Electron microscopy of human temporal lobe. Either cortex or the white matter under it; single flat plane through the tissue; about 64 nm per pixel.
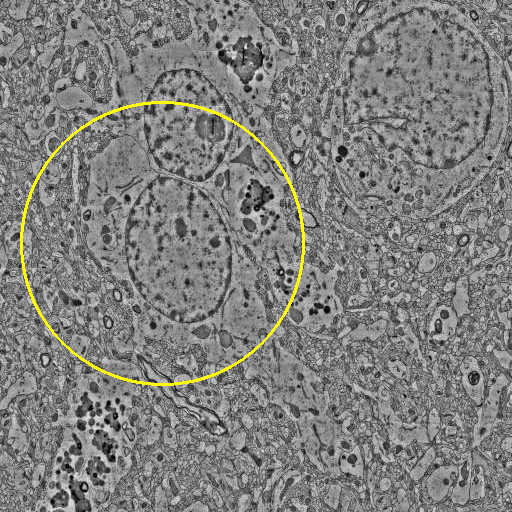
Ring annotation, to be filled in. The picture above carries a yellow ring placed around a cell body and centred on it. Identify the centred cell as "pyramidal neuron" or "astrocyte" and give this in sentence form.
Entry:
The cell in the middle of the ring is an astrocyte.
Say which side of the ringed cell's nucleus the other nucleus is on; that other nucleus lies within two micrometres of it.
The other nucleus is located above it.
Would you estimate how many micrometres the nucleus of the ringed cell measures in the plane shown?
Approximately 10 by 7 micrometers in this plane.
